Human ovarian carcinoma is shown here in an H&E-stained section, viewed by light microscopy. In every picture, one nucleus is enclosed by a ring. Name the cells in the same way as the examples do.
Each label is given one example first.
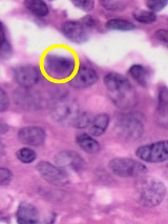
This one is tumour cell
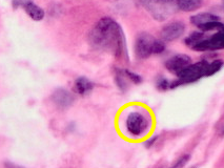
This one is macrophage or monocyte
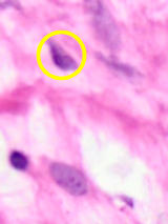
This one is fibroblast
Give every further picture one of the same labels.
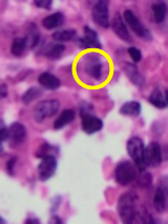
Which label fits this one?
macrophage or monocyte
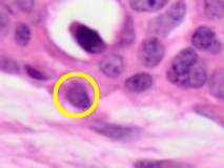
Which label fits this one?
macrophage or monocyte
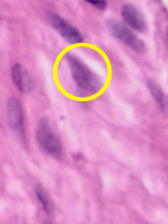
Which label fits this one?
fibroblast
